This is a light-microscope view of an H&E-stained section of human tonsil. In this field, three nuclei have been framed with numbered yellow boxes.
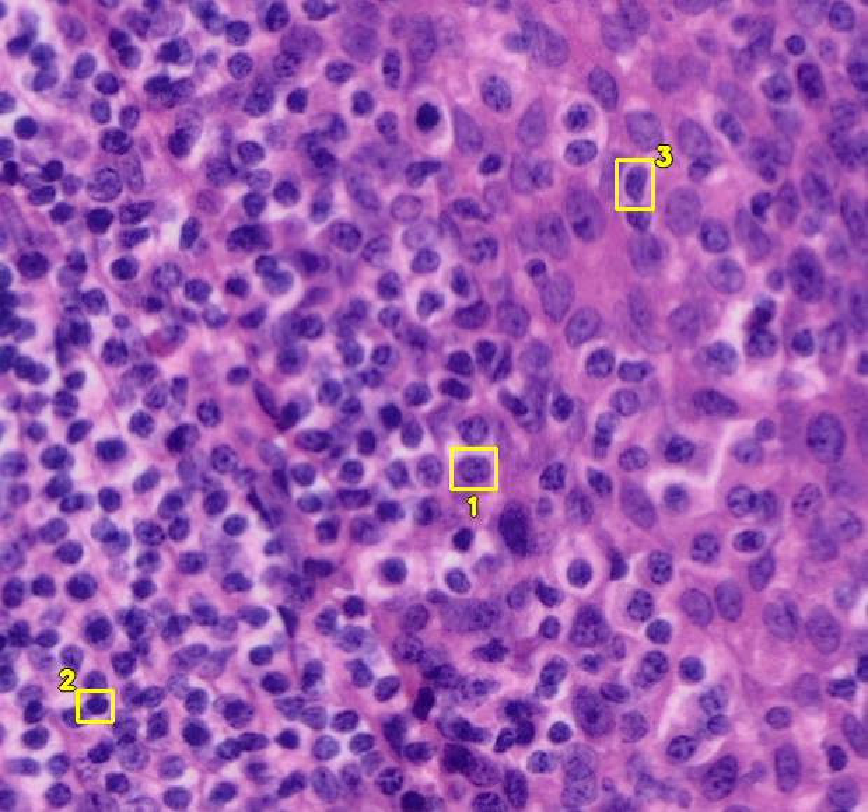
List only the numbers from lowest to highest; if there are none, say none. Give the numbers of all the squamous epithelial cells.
3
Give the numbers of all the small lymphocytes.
2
